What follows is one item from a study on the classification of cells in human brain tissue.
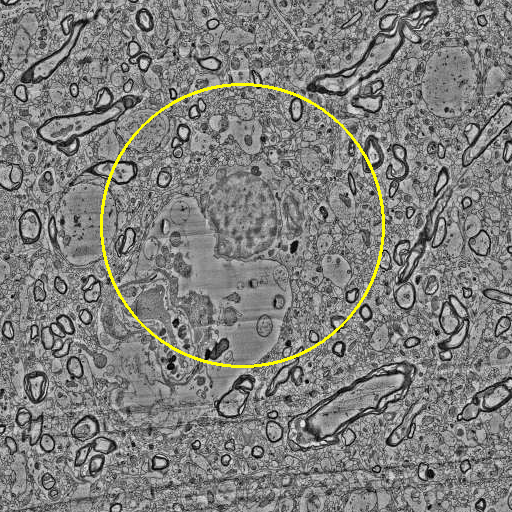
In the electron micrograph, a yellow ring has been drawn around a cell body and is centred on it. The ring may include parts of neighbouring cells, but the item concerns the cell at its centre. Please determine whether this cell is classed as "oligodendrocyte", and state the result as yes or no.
yes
